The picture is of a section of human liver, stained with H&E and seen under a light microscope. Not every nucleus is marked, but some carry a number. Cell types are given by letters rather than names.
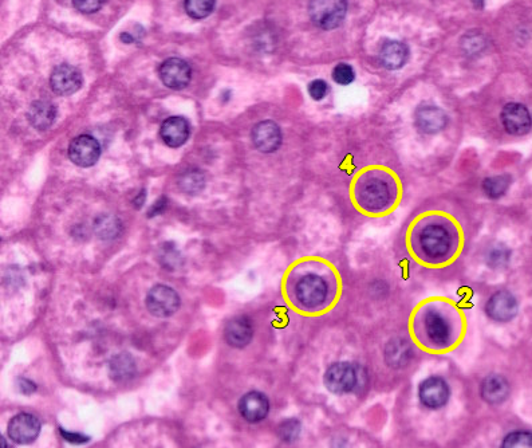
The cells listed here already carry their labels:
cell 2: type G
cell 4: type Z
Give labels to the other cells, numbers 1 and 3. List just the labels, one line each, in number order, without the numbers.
type Z
type Z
